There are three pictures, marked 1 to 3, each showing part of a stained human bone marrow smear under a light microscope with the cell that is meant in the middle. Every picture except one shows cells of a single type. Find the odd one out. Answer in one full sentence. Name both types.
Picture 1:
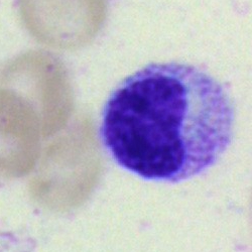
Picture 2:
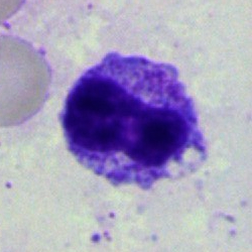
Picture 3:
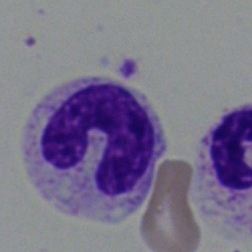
All pictures except 3 show metamyelocytes; picture 3 shows a band neutrophil.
